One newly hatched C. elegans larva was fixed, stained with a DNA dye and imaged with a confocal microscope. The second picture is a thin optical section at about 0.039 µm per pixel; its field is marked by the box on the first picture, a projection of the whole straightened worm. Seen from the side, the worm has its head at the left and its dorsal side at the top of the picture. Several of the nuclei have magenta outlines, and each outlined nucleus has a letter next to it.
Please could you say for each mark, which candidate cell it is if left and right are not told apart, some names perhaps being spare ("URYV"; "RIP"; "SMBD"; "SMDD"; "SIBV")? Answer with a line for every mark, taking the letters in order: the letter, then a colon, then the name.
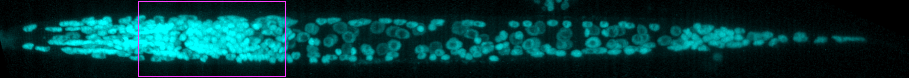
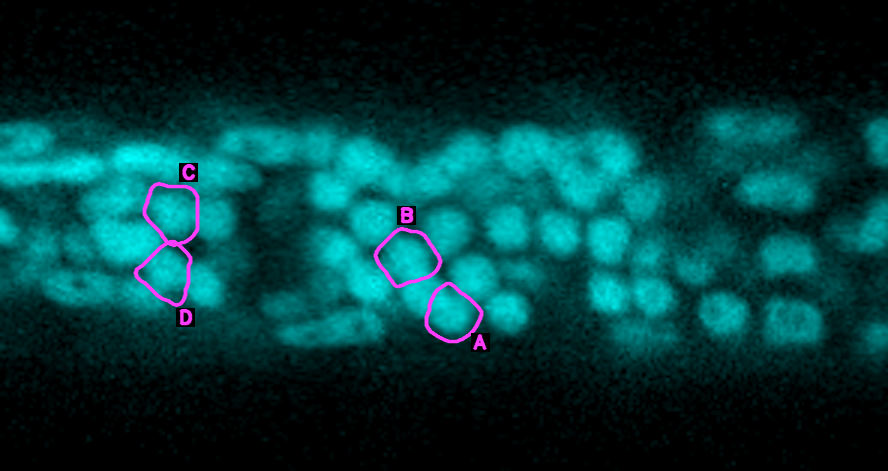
A: SMBD
B: SIBV
C: RIP
D: URYV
